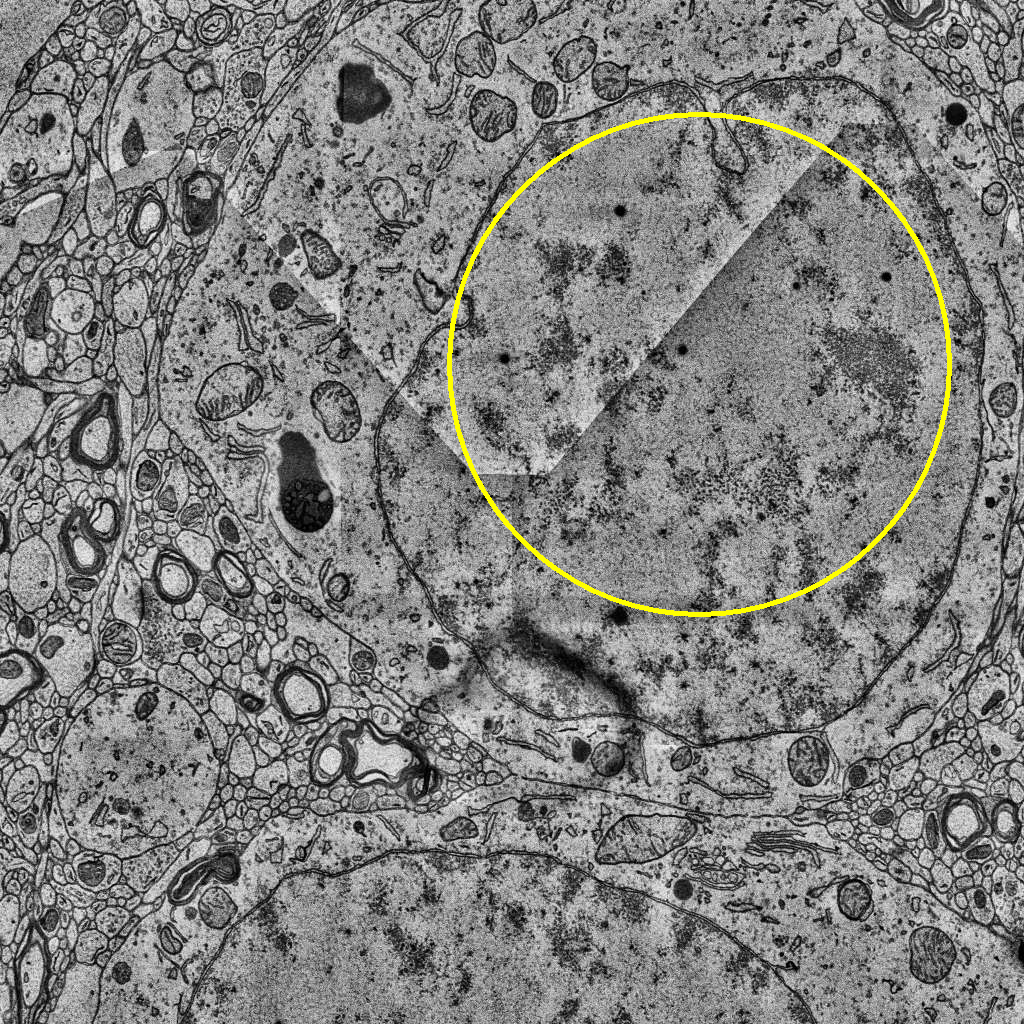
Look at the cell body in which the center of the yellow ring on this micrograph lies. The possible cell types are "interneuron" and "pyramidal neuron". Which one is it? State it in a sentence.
The cell at the middle of the ring is a pyramidal neuron.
